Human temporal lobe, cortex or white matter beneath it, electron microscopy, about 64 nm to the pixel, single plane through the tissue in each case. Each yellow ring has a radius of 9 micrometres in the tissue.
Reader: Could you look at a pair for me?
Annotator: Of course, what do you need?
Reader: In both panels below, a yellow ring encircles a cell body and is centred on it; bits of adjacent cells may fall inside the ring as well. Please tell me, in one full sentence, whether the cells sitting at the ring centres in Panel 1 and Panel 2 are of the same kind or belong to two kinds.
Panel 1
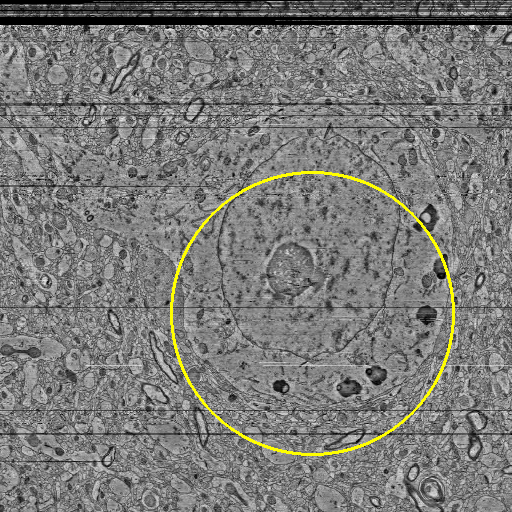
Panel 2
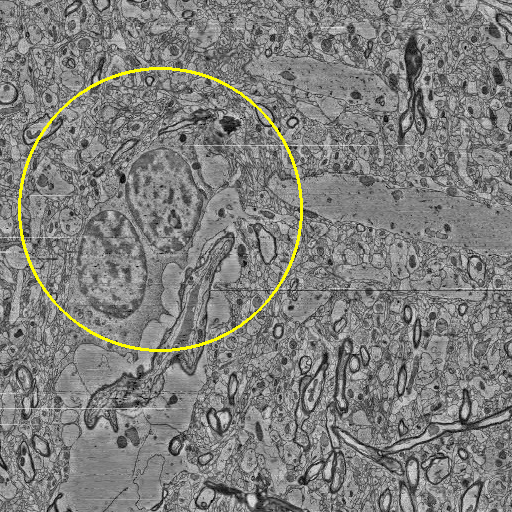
The cell at the ring's centre in Panel 1 and the one in Panel 2 belong to two kinds.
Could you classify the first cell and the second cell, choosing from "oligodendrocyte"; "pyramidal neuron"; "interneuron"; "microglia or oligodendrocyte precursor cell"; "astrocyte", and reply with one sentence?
The second cell is an oligodendrocyte, while the first is a pyramidal neuron.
